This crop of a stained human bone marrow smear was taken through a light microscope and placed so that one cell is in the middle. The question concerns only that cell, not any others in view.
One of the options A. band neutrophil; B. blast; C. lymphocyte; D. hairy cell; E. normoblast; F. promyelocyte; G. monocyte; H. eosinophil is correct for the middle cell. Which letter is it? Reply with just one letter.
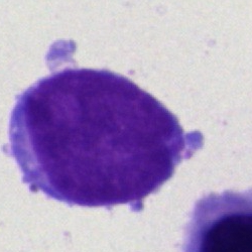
B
